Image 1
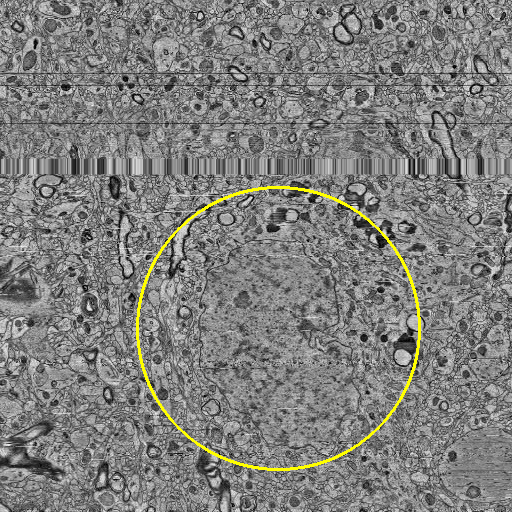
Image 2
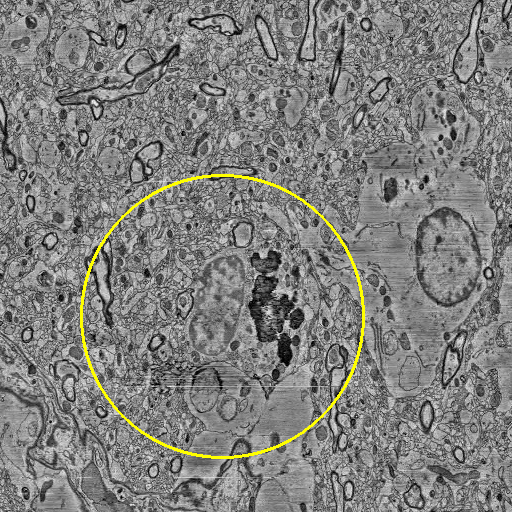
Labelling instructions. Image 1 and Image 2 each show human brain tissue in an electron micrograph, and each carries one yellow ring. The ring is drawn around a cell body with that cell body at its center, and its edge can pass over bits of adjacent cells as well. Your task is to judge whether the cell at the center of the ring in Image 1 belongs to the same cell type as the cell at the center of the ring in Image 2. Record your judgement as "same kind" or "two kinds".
two kinds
